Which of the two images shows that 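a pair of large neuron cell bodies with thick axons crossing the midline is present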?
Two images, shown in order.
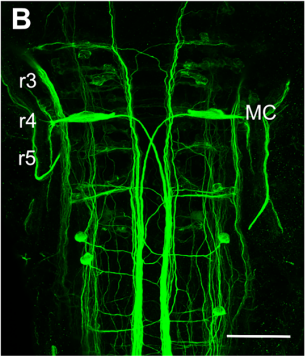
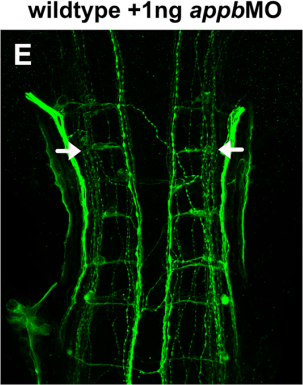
the first image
